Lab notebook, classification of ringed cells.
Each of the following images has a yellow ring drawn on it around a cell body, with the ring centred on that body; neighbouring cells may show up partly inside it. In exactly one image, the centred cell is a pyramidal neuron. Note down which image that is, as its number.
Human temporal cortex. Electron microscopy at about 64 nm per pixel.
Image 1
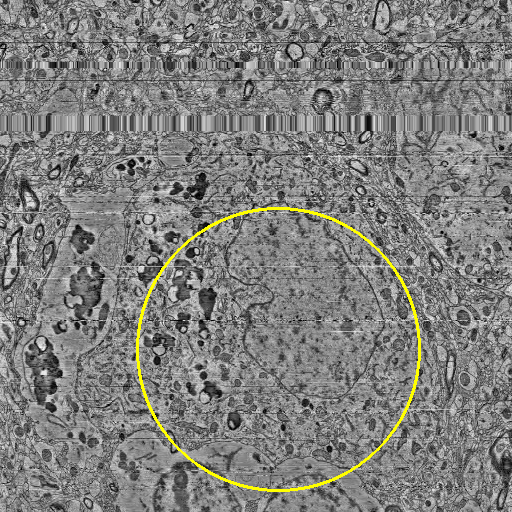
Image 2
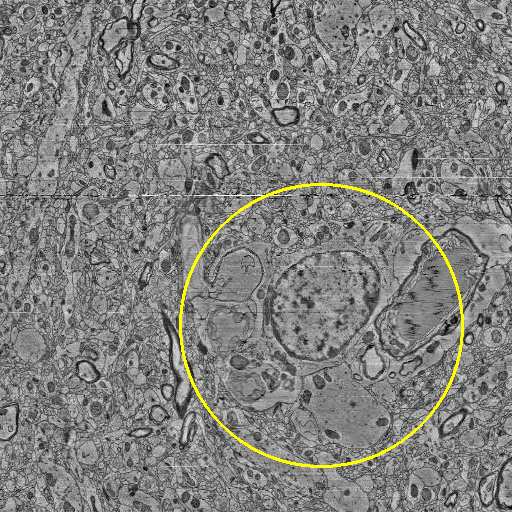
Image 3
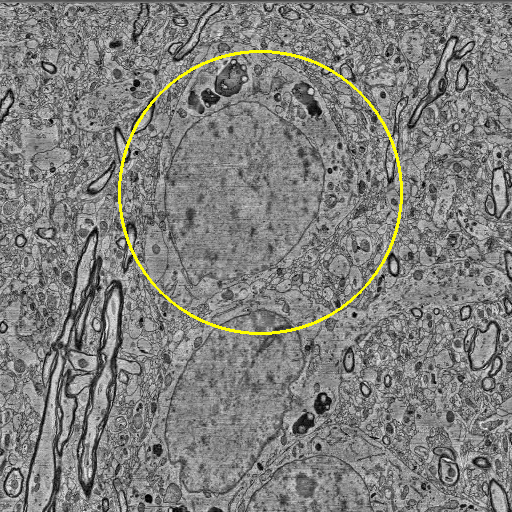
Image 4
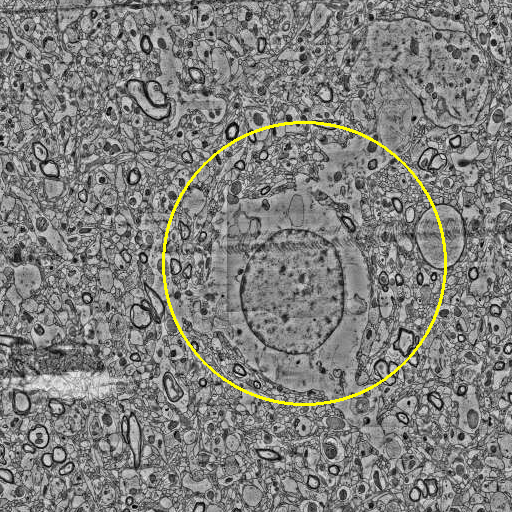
1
